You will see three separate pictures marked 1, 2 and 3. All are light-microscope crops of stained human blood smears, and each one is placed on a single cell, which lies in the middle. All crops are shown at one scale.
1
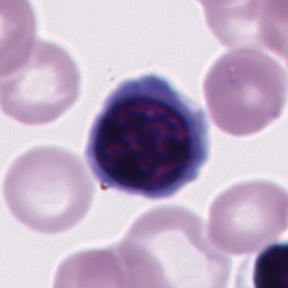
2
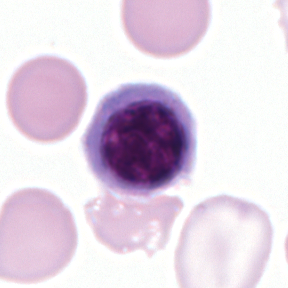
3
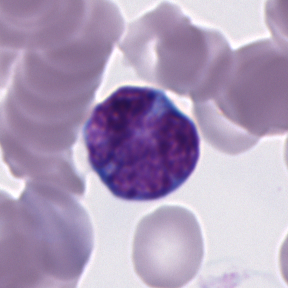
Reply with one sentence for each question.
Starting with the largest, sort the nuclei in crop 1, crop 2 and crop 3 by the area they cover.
From the largest down, the order is 3, 1, 2.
